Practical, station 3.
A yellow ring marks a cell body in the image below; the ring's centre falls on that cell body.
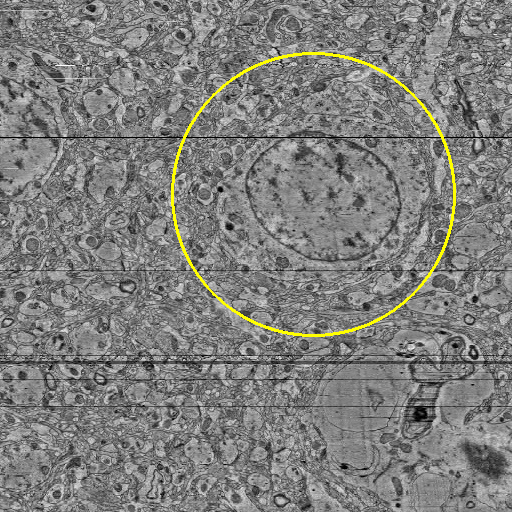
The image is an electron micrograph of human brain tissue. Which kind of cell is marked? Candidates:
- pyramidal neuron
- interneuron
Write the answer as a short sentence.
The marked cell body is that of a pyramidal neuron.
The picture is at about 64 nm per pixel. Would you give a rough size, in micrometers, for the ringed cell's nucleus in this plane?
The nucleus appears roughly 10 by 8 micrometres in this plane.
